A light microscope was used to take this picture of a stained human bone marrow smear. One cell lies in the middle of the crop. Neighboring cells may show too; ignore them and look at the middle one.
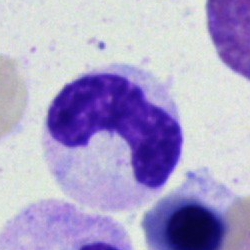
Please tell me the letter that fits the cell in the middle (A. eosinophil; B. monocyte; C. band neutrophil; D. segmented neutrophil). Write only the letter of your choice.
C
